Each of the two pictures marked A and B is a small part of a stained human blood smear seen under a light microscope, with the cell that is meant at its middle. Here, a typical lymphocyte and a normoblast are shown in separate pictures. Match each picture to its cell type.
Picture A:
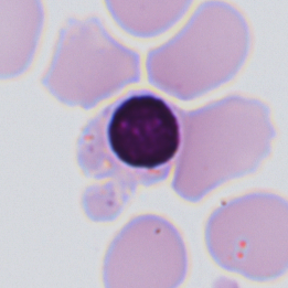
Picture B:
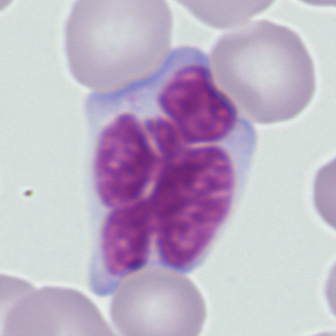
A: normoblast
B: typical lymphocyte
